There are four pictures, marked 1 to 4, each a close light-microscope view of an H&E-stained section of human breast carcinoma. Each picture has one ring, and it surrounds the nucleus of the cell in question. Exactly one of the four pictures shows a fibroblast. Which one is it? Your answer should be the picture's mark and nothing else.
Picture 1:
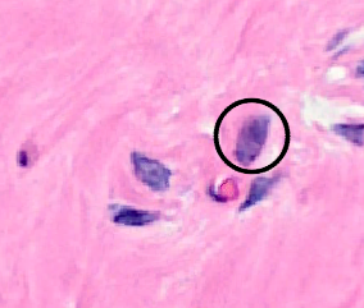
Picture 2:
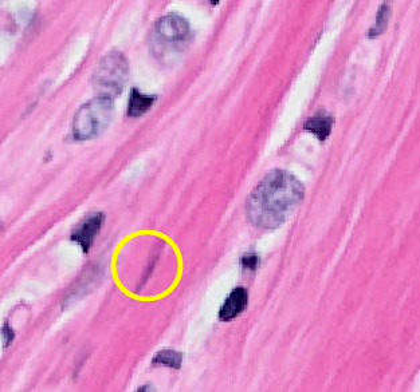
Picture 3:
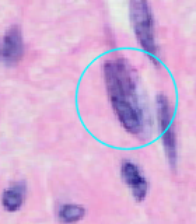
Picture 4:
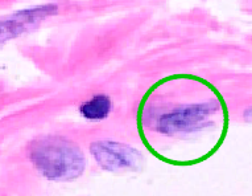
2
